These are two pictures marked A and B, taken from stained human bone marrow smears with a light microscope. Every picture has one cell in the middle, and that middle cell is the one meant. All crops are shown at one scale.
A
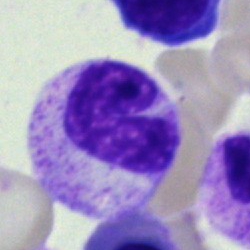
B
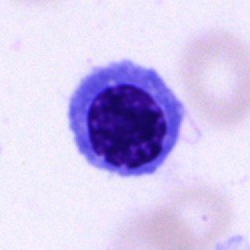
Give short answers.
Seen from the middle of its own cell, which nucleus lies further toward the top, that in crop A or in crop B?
A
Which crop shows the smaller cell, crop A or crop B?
B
